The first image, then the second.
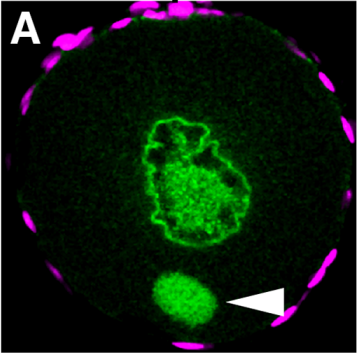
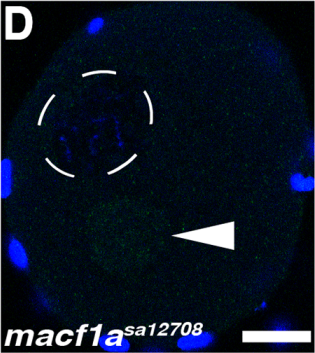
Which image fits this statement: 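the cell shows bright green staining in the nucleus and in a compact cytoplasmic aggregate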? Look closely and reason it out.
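The first image. Second image: the oocyte is dim, with only faint green haze. First image: the nucleus has a bright green rim and speckled interior, and a bright green oval aggregate lies near the cell edge.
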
